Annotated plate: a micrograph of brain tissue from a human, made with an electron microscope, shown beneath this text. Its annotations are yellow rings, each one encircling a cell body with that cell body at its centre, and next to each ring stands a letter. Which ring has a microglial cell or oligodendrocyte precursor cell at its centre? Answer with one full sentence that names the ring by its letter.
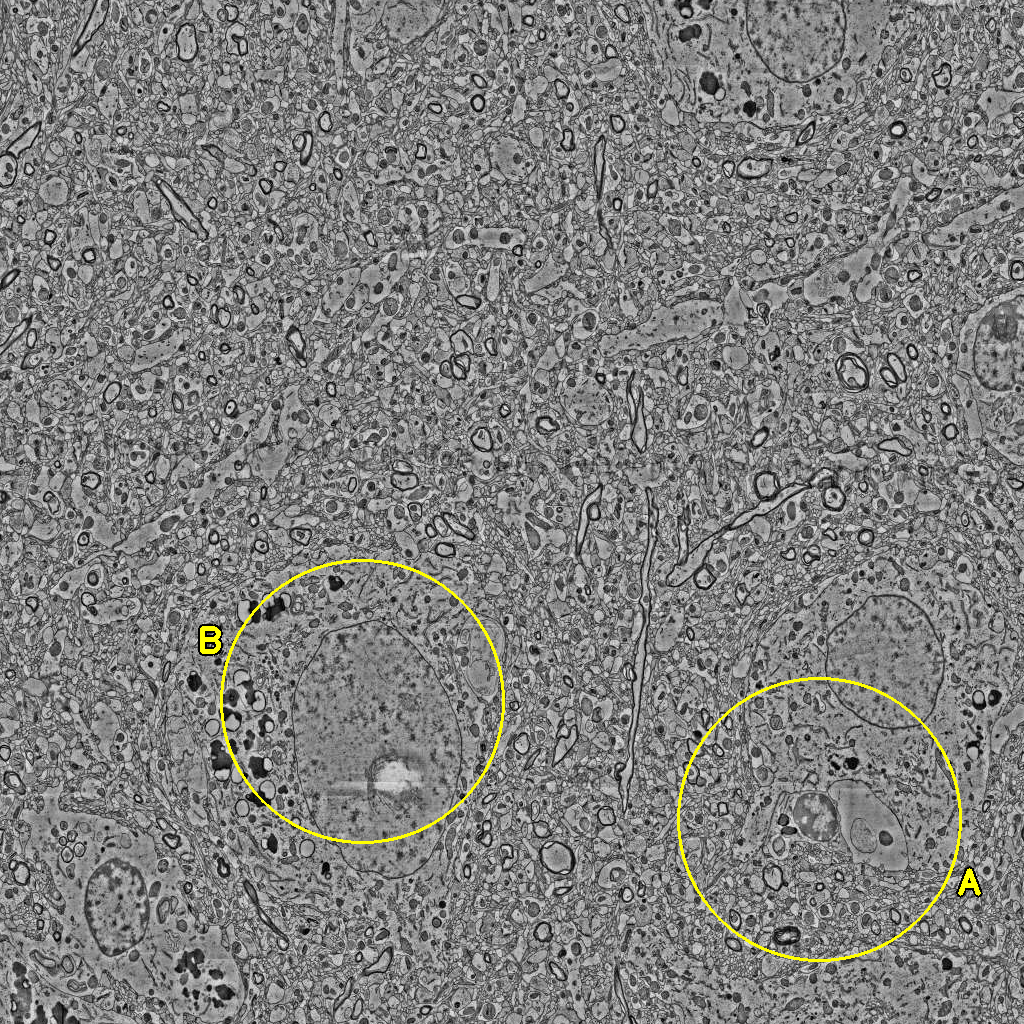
In the plate, ring A is the one centred on a cell of that kind.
